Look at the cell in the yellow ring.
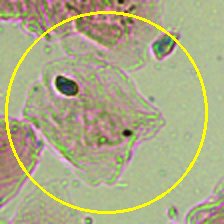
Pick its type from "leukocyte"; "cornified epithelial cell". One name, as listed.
cornified epithelial cell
